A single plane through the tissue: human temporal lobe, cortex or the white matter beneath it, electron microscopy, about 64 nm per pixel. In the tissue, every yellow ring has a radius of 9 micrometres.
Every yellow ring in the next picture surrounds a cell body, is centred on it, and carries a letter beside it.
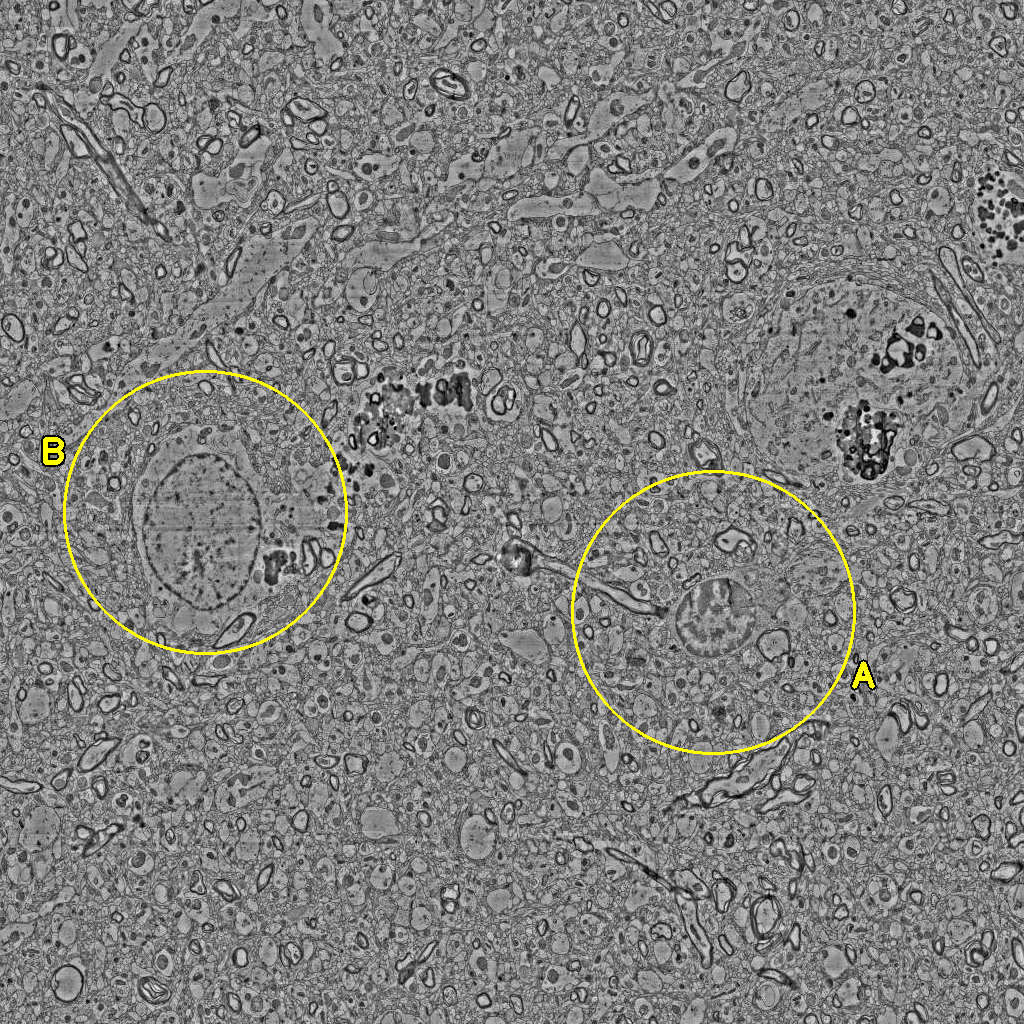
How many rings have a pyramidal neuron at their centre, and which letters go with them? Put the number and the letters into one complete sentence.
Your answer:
In this electron micrograph, no ring is centred on a pyramidal neuron, so the count is zero.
